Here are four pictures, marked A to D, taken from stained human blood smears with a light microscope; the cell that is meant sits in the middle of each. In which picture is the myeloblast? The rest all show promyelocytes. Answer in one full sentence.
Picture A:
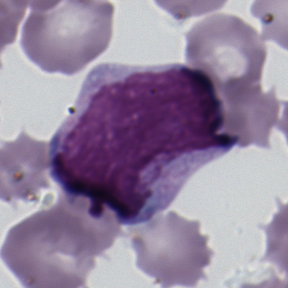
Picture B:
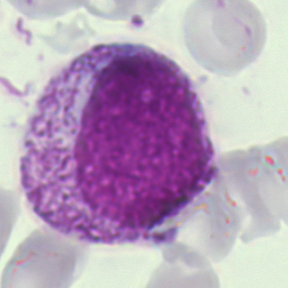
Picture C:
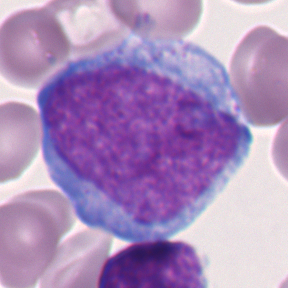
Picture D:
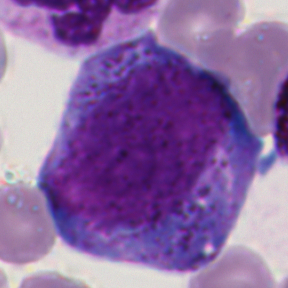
The cell in picture A is the myeloblast.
